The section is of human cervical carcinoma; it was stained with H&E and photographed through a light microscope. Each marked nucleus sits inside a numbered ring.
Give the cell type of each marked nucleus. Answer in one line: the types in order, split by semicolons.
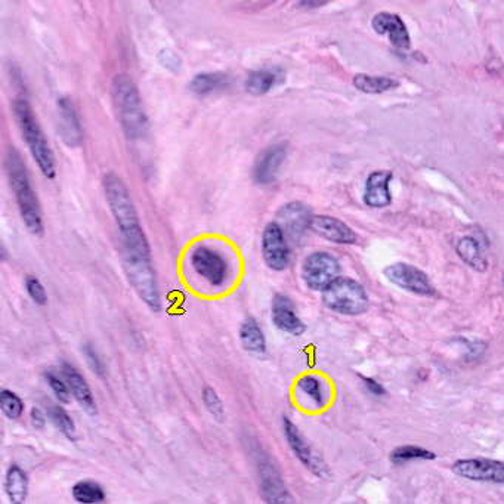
fibroblast; lymphocyte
